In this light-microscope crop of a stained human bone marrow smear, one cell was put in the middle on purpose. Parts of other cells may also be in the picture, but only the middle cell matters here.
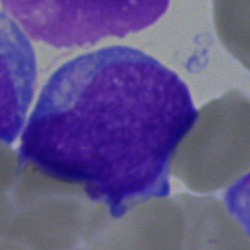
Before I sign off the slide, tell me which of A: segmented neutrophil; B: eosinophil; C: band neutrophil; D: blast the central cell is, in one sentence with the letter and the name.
Option D is accurate; the centrally placed cell is a blast.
